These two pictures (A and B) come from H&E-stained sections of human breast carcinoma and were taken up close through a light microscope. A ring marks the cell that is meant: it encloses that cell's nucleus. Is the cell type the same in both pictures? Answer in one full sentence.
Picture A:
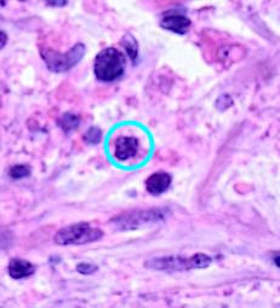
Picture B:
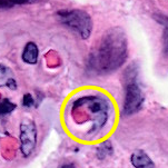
No, they differ: the cell is a lymphocyte in picture A and an endothelial cell in picture B.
